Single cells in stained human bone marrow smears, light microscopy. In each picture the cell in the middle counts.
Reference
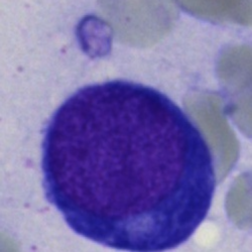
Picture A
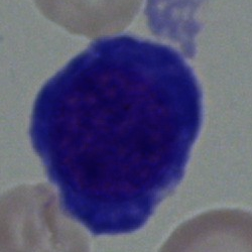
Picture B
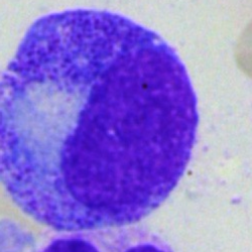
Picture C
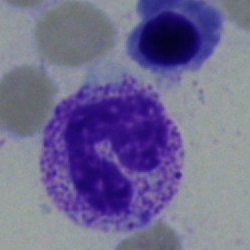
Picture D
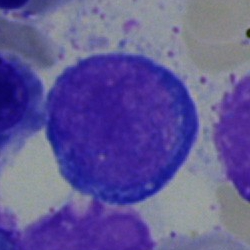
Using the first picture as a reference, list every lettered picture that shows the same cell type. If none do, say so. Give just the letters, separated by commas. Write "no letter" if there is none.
A, D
